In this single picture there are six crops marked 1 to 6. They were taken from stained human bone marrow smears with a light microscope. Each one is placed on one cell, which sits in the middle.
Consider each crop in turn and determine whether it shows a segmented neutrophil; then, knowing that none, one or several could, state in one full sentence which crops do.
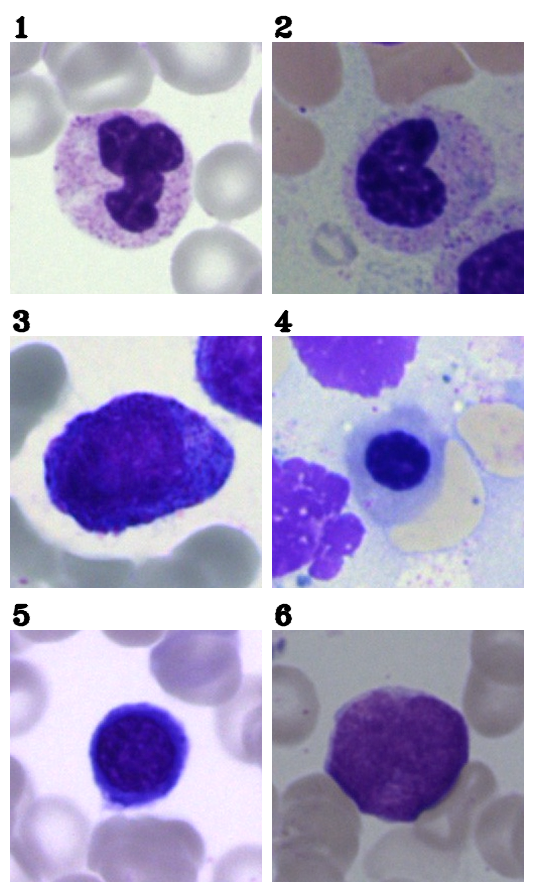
Of the crops presented, only crop 1 features a segmented neutrophil.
